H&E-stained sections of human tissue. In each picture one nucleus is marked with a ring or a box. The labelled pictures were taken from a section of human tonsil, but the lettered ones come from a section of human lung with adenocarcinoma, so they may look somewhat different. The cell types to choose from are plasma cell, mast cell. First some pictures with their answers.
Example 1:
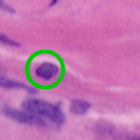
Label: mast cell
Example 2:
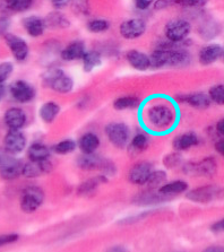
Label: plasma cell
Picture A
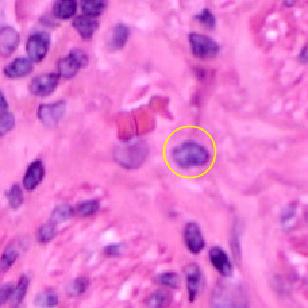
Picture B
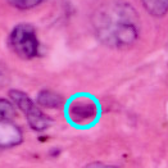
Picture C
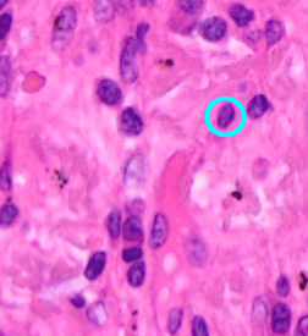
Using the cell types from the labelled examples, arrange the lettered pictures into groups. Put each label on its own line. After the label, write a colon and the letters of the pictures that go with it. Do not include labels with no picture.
plasma cell: B
mast cell: A, C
